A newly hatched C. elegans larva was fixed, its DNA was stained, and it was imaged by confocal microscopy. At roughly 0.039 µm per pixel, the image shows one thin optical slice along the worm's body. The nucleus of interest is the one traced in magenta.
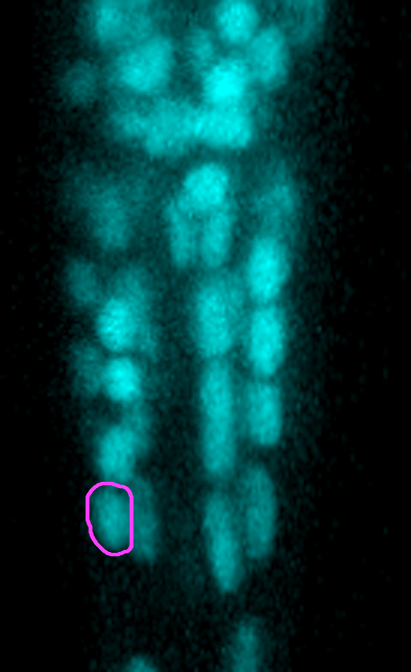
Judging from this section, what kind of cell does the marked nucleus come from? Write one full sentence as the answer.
The marked nucleus is that of a hypodermal cell (hyp).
